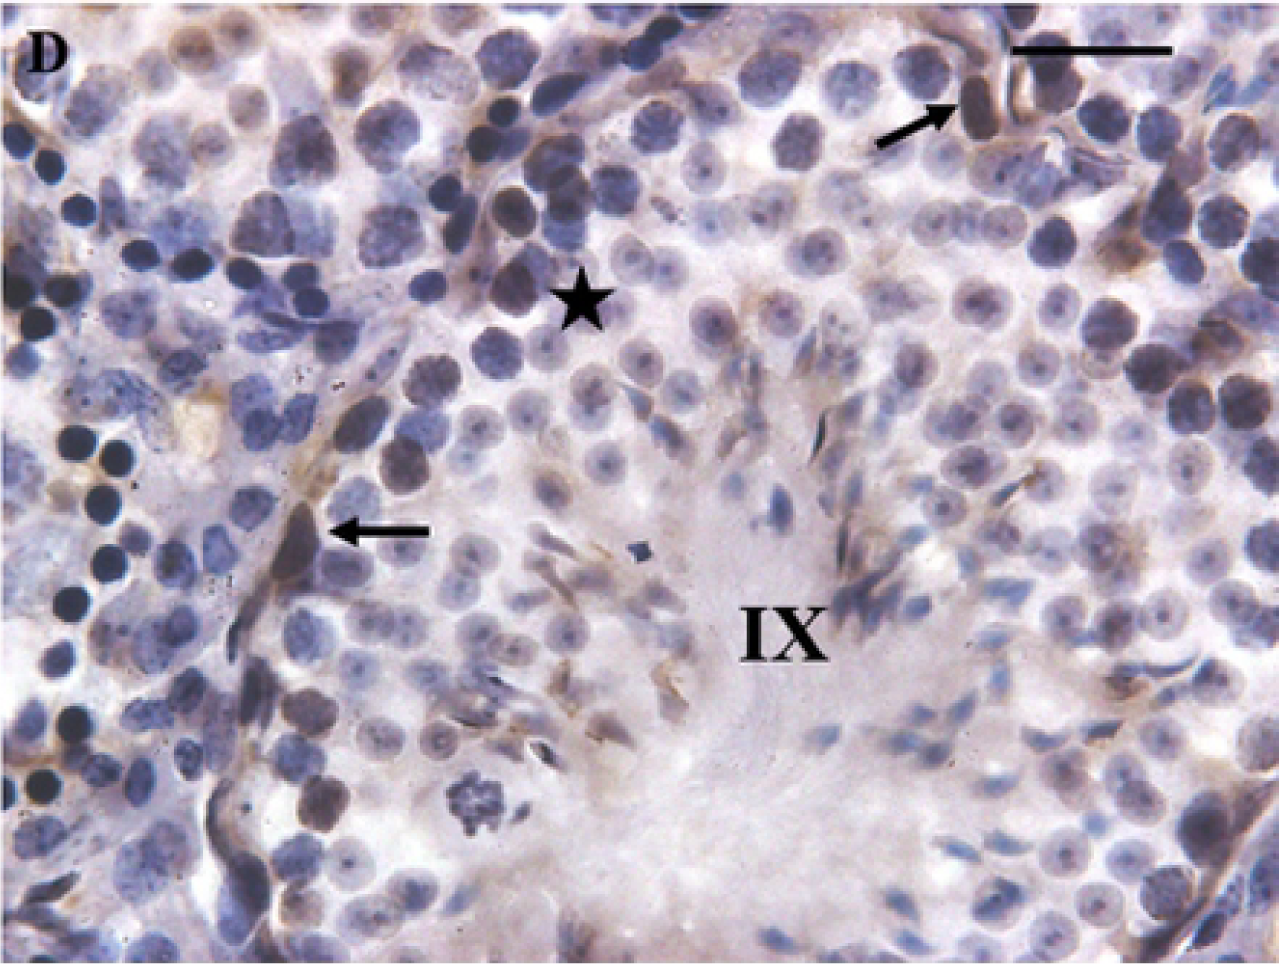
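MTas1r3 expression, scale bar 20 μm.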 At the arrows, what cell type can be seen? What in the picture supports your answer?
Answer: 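Spermatogonium. The arrows point to brown-stained cells lying against the tubule wall. The marked cells are flattened along the basal edge of the epithelium.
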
